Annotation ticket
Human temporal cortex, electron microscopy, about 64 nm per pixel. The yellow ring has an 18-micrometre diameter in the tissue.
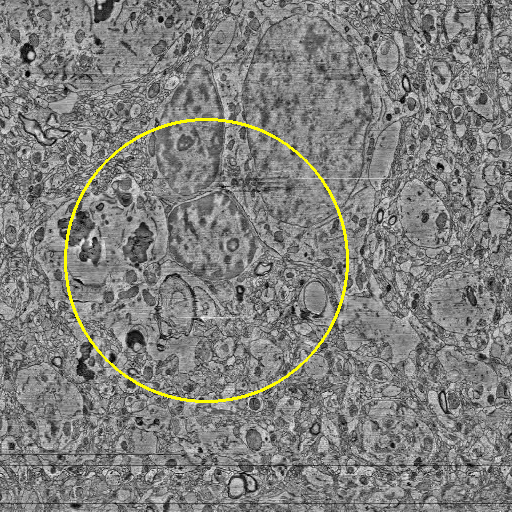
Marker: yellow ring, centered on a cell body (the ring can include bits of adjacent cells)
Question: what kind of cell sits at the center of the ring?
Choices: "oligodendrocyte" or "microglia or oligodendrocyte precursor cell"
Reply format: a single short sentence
The ring is centered on a microglial cell or oligodendrocyte precursor cell.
